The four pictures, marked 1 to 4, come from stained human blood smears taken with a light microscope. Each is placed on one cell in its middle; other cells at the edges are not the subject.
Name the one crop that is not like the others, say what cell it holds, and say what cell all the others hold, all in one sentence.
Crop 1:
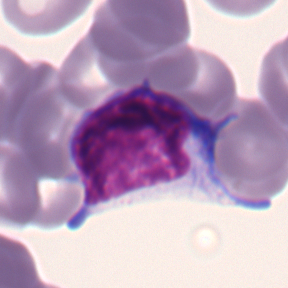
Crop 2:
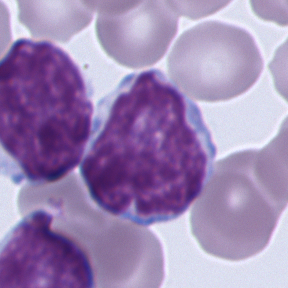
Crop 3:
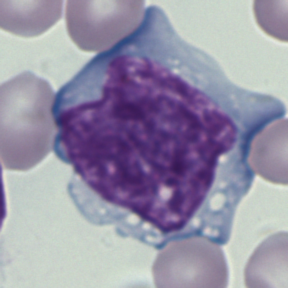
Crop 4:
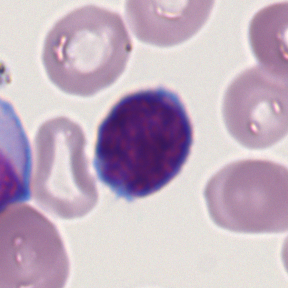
The remaining crops are all typical lymphocytes, so crop 3, being a myeloblast, is the exception.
